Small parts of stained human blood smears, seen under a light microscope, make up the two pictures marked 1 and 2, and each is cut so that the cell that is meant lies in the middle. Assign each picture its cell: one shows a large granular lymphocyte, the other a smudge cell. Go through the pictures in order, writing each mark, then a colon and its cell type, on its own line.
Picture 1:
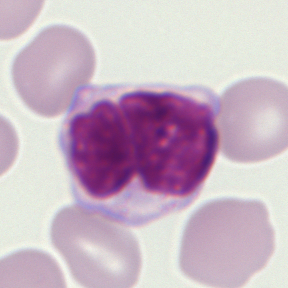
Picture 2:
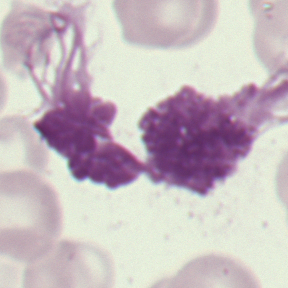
1: large granular lymphocyte
2: smudge cell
